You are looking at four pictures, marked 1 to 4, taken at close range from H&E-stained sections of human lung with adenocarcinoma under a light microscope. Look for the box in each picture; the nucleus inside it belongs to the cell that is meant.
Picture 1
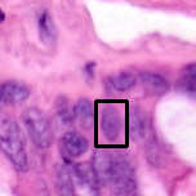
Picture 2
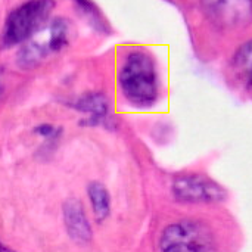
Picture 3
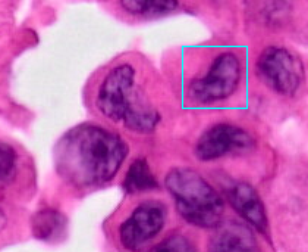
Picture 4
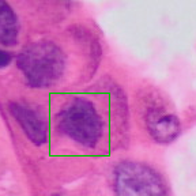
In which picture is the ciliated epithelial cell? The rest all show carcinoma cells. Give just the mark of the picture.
1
